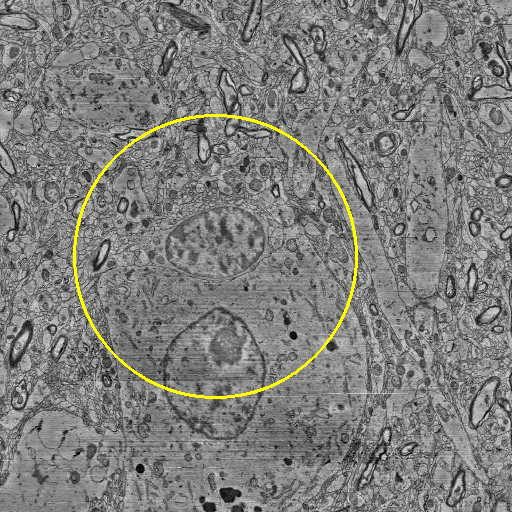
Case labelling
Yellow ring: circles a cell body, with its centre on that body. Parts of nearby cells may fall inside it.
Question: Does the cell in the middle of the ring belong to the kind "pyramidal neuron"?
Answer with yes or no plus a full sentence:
No, in this picture the cell in the middle of the yellow ring belongs to a different kind.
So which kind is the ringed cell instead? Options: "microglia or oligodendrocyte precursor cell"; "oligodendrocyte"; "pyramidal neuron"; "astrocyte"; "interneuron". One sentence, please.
At the centre of the ring sits an oligodendrocyte.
